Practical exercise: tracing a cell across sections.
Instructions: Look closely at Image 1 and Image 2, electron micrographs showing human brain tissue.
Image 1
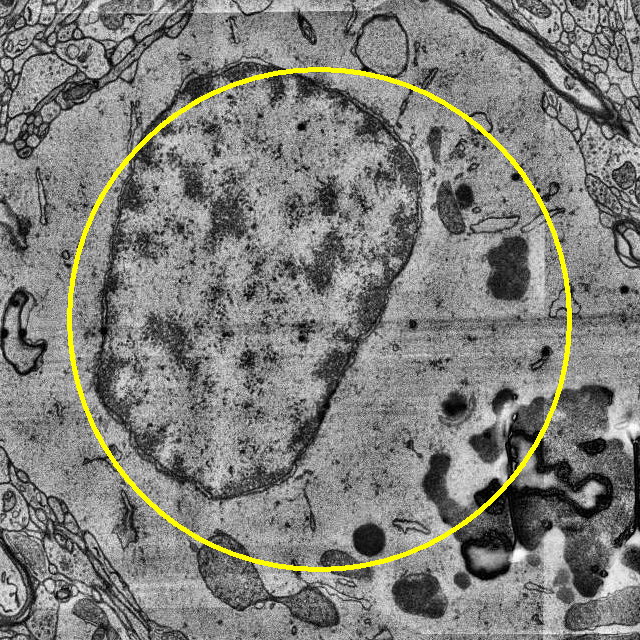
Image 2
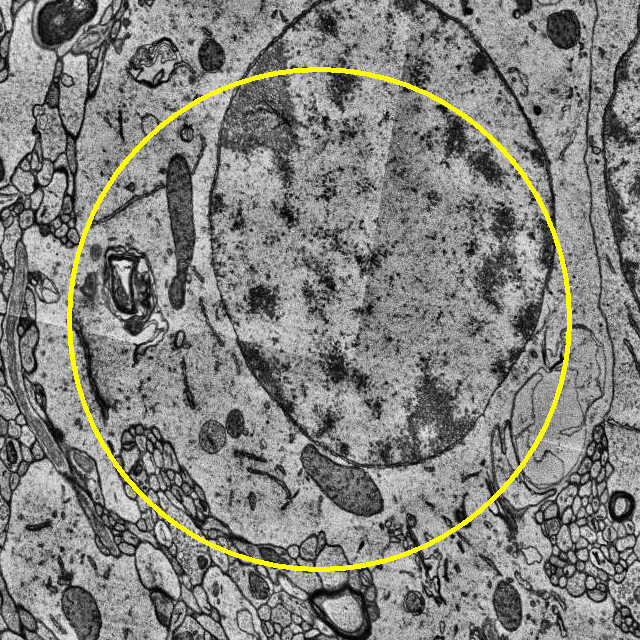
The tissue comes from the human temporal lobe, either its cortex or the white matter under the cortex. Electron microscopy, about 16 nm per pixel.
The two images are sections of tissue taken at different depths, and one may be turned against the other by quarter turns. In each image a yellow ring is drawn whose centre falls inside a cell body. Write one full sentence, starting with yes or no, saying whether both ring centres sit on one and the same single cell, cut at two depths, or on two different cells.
No, the rings surround different cells rather than one cell.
